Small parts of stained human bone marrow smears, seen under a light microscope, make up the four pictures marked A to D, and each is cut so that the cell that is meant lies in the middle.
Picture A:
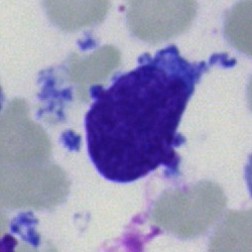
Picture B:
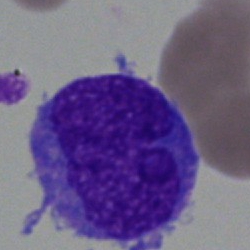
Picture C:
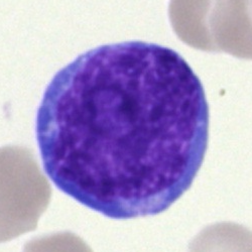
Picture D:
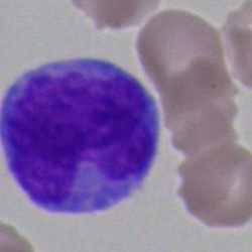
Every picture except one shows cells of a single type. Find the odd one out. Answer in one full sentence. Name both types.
All pictures except D show blasts; picture D shows a monocyte.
